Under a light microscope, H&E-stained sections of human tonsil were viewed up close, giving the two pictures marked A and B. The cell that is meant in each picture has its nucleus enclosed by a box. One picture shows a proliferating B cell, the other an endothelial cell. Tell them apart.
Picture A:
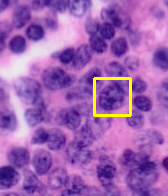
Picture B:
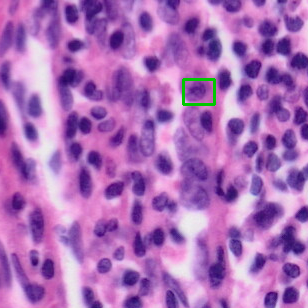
A: proliferating B cell
B: endothelial cell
